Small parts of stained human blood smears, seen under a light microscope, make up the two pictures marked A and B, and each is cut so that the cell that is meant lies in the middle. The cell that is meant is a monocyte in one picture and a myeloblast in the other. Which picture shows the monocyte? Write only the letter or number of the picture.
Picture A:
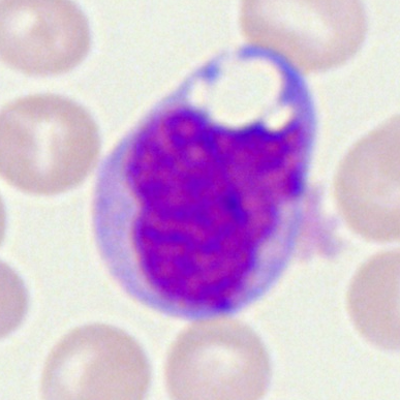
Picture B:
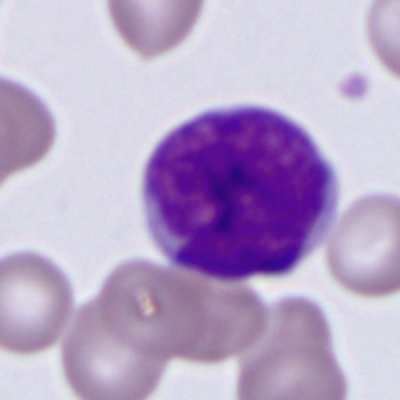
A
